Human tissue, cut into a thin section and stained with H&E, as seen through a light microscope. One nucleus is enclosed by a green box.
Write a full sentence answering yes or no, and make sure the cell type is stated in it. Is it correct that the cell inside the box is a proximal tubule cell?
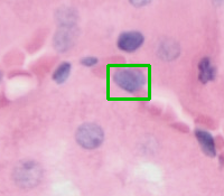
No, the cell inside the box qualifies as an endothelial cell and does not qualify as a proximal tubule cell.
